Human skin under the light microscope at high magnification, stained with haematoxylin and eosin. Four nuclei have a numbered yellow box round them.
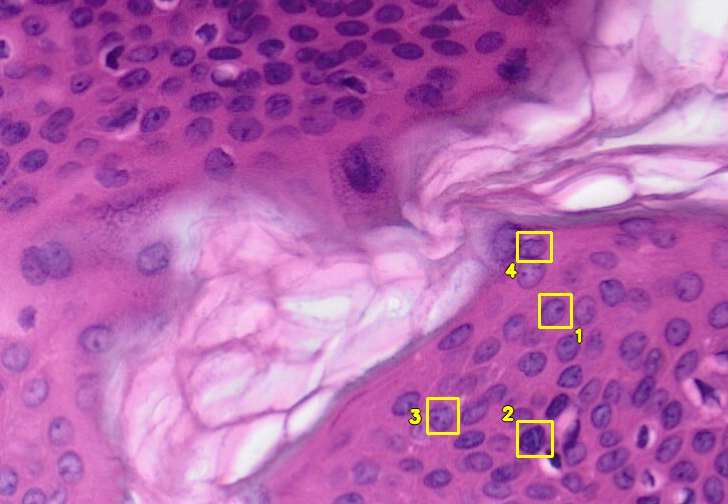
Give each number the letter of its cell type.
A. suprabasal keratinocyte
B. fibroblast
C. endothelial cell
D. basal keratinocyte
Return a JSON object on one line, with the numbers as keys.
{"1": "A", "2": "D", "3": "A", "4": "A"}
